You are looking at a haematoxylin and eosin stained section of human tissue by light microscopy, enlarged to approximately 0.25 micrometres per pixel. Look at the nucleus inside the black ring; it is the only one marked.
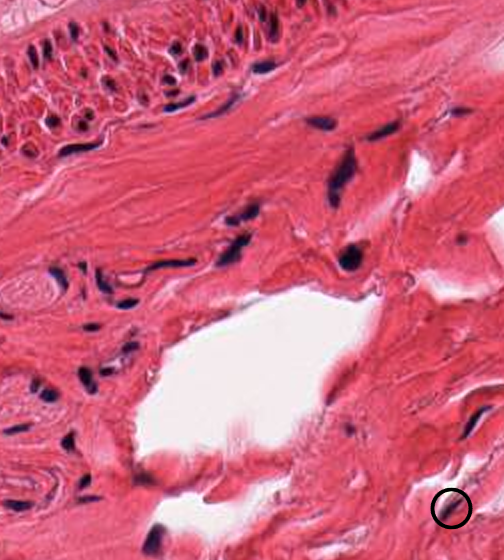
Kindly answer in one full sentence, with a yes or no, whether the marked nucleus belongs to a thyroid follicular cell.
No, the cell that carries the marked nucleus is a supporting cell, not a thyroid follicular cell.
